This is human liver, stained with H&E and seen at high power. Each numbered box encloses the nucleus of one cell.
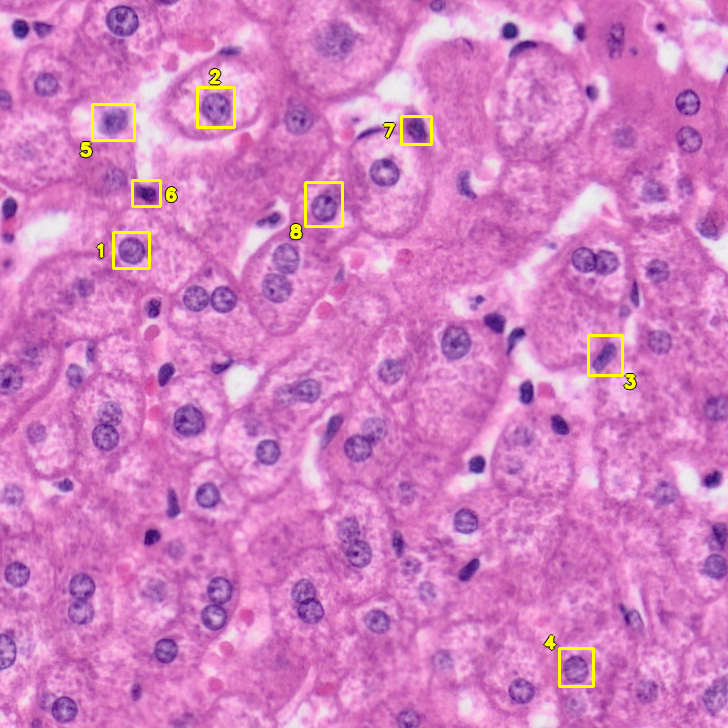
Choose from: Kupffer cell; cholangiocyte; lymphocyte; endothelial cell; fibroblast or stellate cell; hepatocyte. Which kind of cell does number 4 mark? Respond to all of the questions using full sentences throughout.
The cell identified by the number 4 is a hepatocyte.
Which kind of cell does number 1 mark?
The cell whose nucleus carries the number 1 is a hepatocyte.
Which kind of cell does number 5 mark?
Cell 5 in the field of view is an endothelial cell.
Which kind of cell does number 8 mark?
The cell identified by the number 8 is a hepatocyte.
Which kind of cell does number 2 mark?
The label 2 in this section denotes a hepatocyte.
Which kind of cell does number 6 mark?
The cell marked with number 6 is a fibroblast or stellate cell.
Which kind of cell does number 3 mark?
Looking at the numbered marks, cell 3 is a fibroblast or stellate cell.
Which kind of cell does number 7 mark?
To a Kupffer cell belongs the nucleus marked 7.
